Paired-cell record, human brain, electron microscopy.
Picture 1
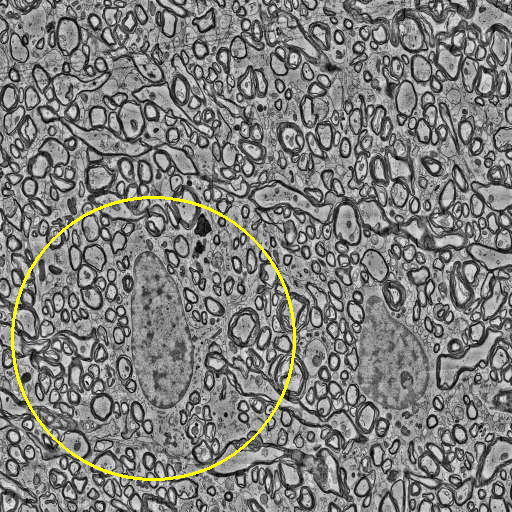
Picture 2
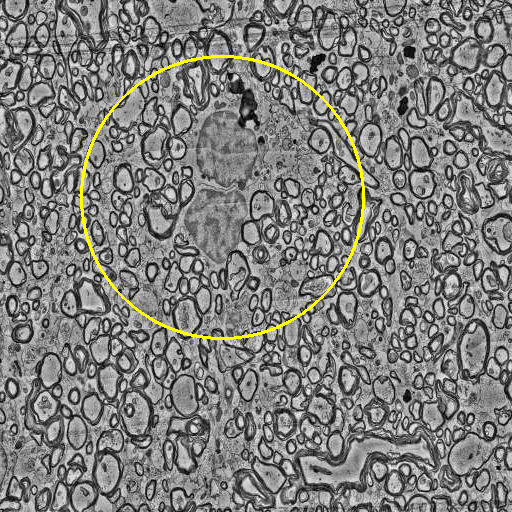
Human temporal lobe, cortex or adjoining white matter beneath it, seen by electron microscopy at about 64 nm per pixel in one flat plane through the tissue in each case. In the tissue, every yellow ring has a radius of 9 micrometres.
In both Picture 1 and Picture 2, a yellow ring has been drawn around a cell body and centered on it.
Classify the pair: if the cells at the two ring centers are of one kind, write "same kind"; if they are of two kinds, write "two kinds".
two kinds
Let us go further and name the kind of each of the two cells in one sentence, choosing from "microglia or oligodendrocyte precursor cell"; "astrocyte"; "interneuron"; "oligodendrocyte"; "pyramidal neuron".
The ring of the first picture is on a microglial cell or oligodendrocyte precursor cell, the ring of the second on an oligodendrocyte.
